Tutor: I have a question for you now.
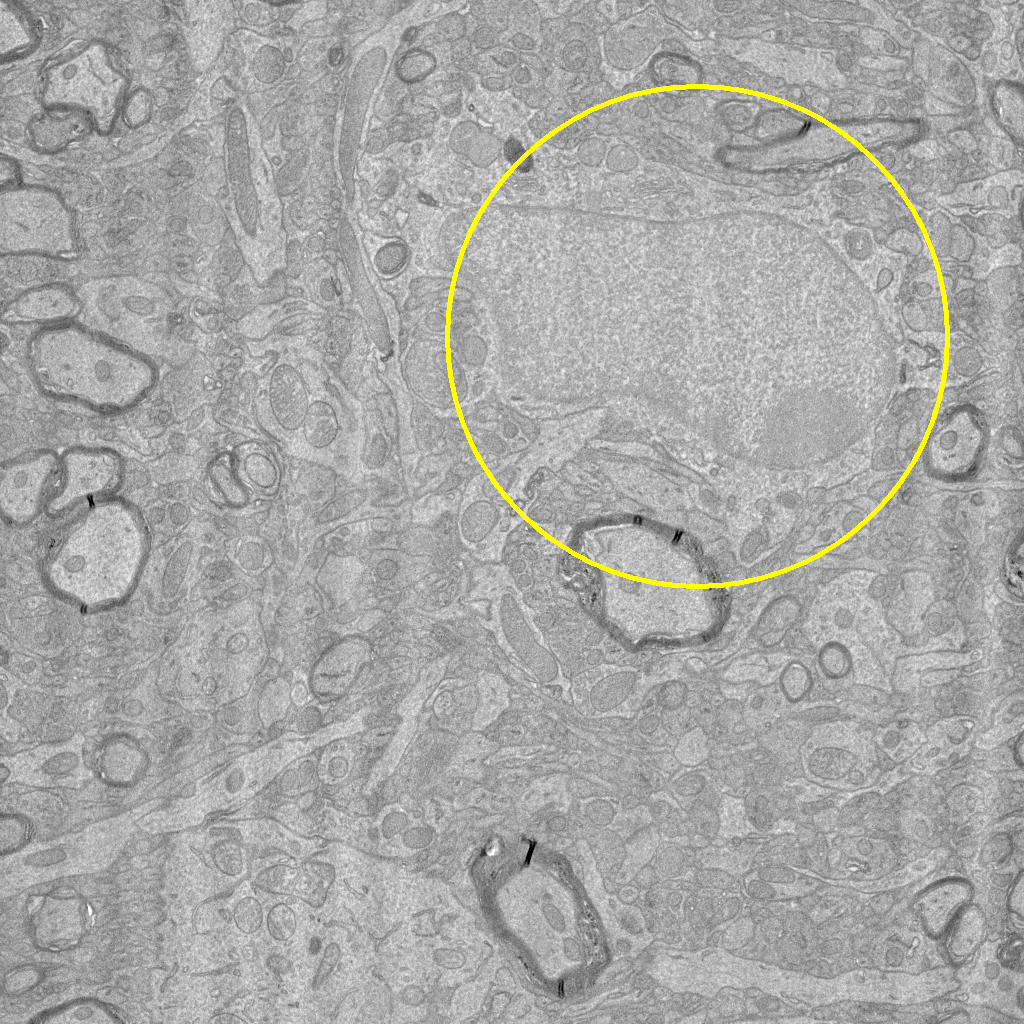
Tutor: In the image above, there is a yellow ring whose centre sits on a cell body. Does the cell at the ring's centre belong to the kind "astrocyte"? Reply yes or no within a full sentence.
Yes, the cell at the centre of the yellow ring in the picture is of that kind.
